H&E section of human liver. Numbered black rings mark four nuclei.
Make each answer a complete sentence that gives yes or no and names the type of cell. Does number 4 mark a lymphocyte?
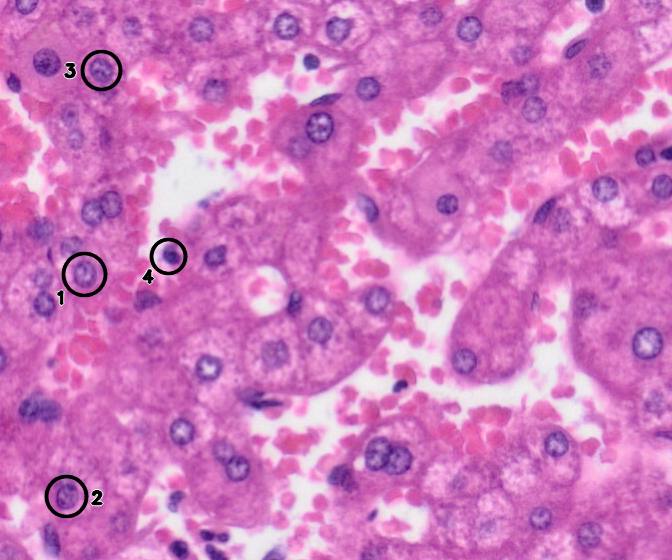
Yes, the cell marked by the number 4 is a lymphocyte.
